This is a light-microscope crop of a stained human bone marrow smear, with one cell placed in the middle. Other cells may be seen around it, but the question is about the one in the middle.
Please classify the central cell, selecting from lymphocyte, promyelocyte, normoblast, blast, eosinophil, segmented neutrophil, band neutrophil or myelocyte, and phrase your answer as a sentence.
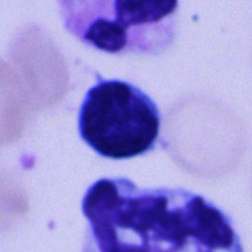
In the middle of this smear crop, the cell is a lymphocyte.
